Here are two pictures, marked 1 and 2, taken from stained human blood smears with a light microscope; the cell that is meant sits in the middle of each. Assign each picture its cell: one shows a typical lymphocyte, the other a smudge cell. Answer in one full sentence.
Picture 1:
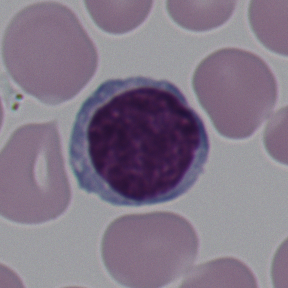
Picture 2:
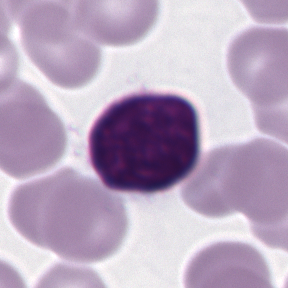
Picture 1 shows a typical lymphocyte and picture 2 shows a smudge cell.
